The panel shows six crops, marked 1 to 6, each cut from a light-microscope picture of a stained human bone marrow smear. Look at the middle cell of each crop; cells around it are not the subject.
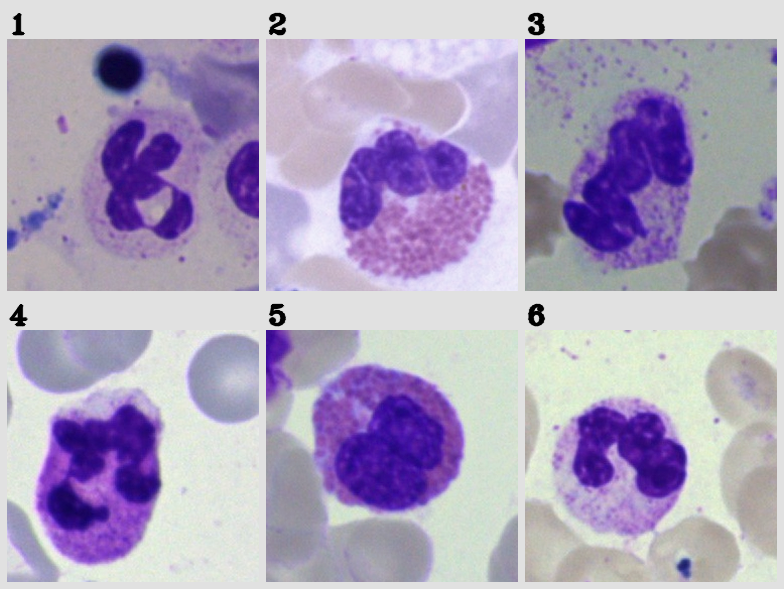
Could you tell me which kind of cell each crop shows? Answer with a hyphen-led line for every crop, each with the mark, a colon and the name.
- 1: neutrophil
- 2: eosinophil
- 3: neutrophil
- 4: neutrophil
- 5: eosinophil
- 6: neutrophil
